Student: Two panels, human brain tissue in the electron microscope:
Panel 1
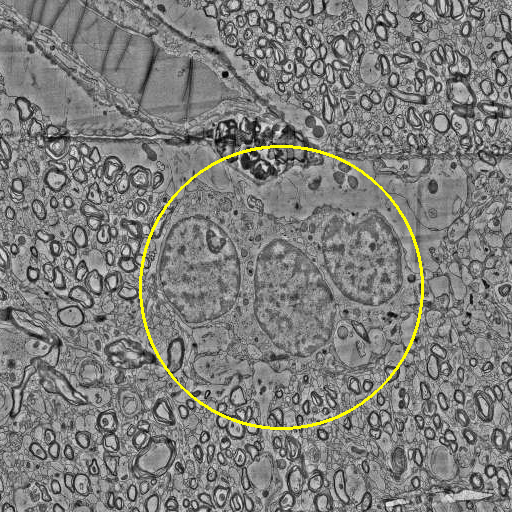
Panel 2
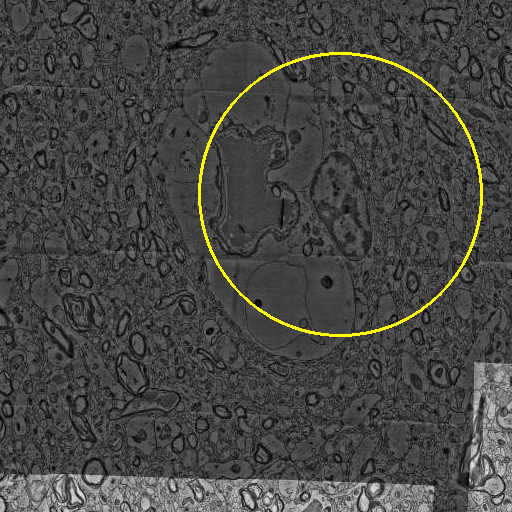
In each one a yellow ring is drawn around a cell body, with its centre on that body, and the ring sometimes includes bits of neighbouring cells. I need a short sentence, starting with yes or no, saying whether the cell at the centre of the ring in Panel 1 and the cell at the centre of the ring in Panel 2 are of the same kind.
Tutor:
No, they are two kinds of cell.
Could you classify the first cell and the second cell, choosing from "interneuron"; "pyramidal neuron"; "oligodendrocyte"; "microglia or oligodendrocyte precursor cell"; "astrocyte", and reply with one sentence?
The second cell is a microglial cell or oligodendrocyte precursor cell, while the first is an oligodendrocyte.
